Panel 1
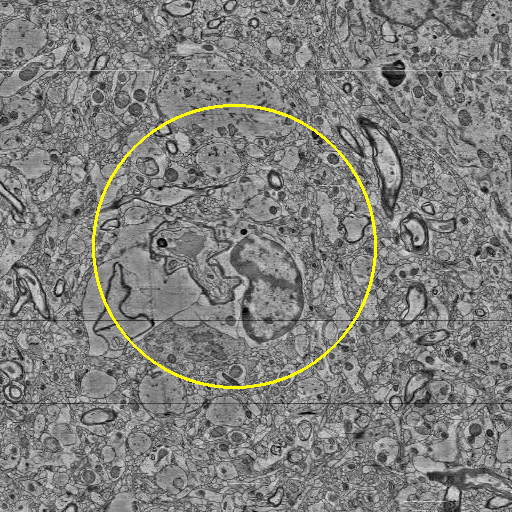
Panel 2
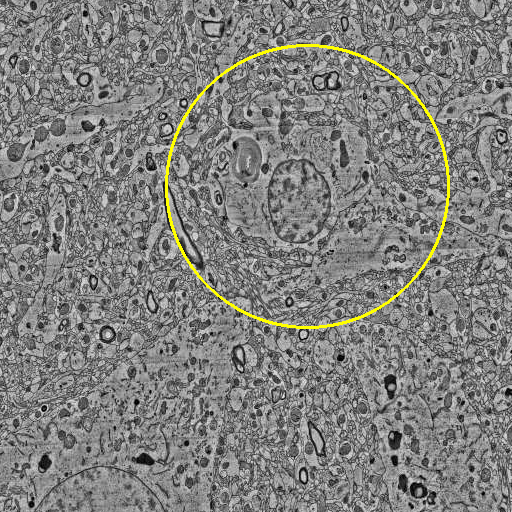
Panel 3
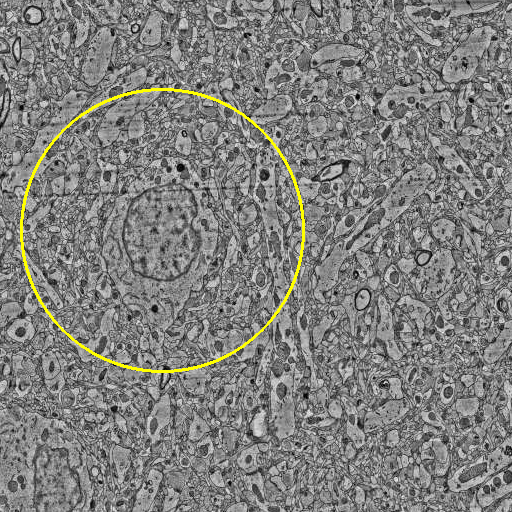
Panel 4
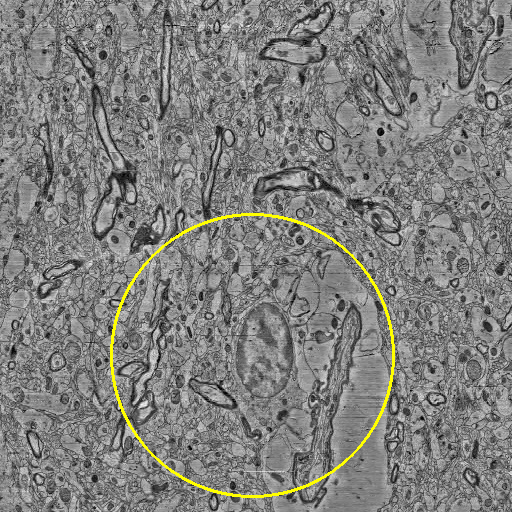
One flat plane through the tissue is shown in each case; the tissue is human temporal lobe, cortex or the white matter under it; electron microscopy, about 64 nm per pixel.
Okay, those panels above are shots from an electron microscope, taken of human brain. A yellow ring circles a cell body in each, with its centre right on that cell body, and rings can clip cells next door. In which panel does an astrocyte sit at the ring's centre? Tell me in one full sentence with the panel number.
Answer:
The cell you asked for sits at the ring's centre in panel 2.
